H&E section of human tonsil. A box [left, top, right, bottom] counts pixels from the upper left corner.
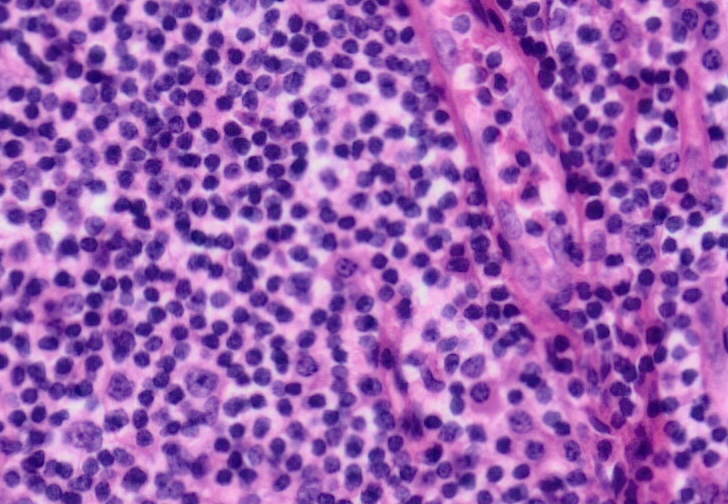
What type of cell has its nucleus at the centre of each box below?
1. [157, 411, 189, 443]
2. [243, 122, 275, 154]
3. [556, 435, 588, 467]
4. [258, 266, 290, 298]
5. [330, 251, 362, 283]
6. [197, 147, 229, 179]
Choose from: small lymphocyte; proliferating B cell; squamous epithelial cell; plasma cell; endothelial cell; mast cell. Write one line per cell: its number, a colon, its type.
1: small lymphocyte
2: small lymphocyte
3: plasma cell
4: small lymphocyte
5: plasma cell
6: small lymphocyte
